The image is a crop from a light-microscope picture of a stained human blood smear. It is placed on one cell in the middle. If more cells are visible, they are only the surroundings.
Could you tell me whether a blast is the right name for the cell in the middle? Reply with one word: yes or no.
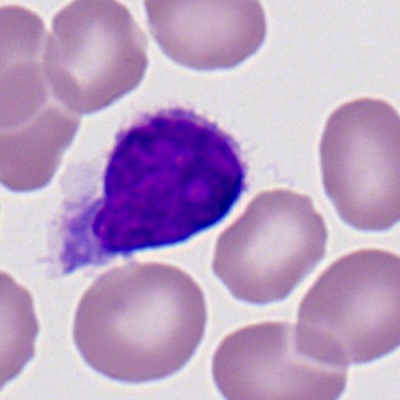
no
